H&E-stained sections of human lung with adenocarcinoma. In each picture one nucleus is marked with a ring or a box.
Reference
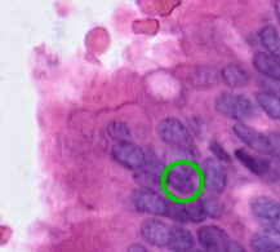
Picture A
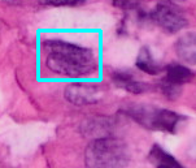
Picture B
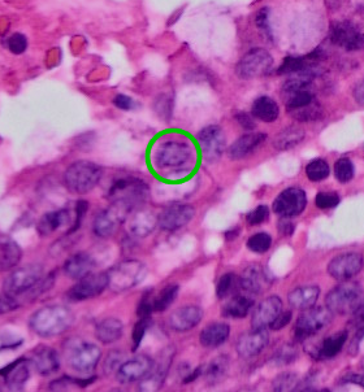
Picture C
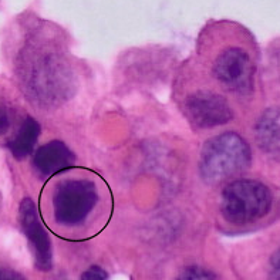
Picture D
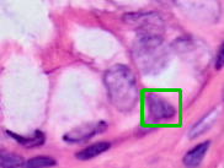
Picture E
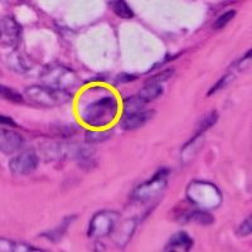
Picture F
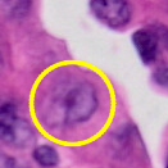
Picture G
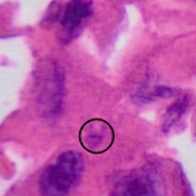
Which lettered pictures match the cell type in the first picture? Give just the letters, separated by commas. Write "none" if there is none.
A, B, D, E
